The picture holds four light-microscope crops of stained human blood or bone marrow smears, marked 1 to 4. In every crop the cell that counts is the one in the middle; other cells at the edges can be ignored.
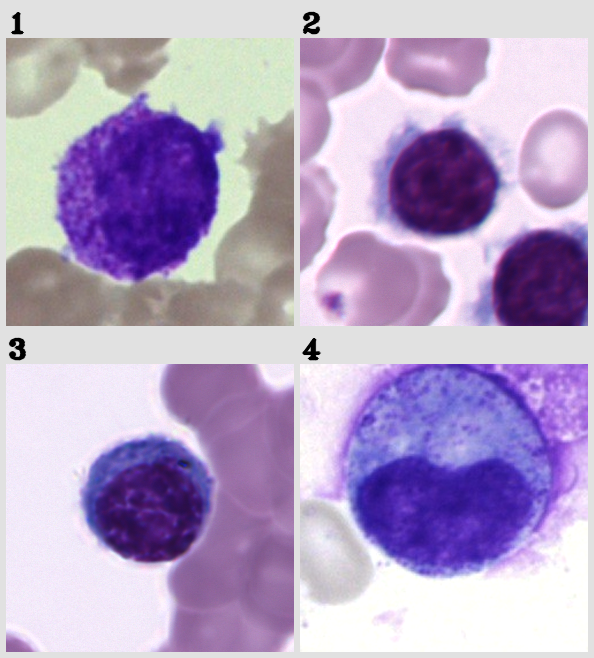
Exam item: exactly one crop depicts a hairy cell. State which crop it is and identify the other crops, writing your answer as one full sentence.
Found in crop 2 is a hairy cell, whereas crop 1 is a blast, crop 3 is a plasma cell and crop 4 is a metamyelocyte.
